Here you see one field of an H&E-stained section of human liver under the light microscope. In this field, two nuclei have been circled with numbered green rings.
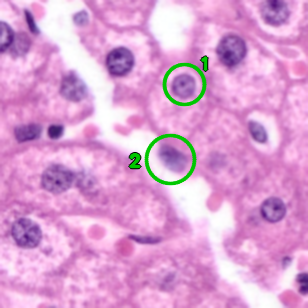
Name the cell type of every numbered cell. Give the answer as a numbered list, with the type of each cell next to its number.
1. hepatocyte
2. endothelial cell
